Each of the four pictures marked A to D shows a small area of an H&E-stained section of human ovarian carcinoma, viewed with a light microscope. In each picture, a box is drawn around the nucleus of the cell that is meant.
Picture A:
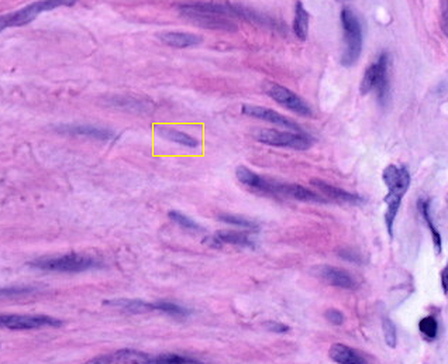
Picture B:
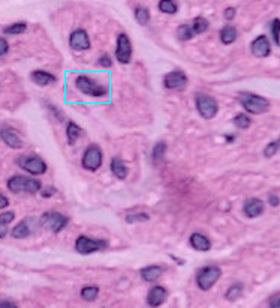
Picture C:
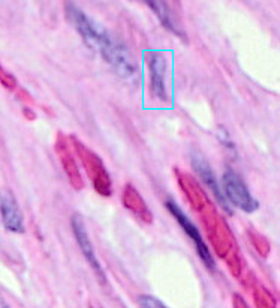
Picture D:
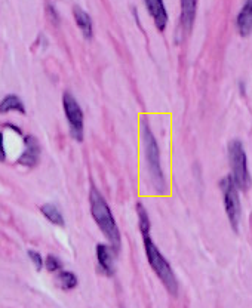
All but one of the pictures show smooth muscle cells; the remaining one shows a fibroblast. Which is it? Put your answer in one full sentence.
The cell in picture C is the fibroblast.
